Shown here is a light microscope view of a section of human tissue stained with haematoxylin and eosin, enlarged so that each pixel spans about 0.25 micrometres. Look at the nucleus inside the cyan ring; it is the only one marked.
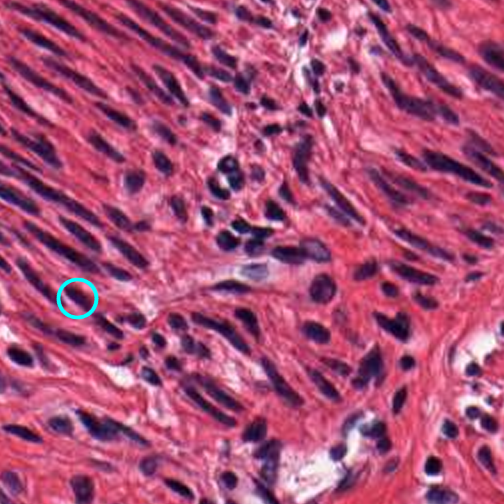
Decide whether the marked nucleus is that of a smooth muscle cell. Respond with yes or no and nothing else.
yes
